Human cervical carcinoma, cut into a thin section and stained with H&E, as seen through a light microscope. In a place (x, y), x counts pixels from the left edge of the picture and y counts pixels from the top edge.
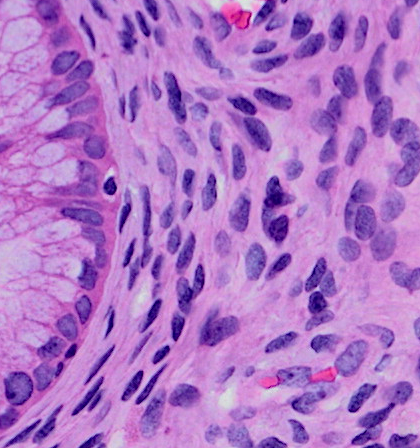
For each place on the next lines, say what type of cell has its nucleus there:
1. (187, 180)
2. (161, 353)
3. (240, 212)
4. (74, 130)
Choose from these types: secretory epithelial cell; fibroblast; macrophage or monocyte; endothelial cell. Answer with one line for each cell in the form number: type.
1: fibroblast
2: fibroblast
3: fibroblast
4: secretory epithelial cell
